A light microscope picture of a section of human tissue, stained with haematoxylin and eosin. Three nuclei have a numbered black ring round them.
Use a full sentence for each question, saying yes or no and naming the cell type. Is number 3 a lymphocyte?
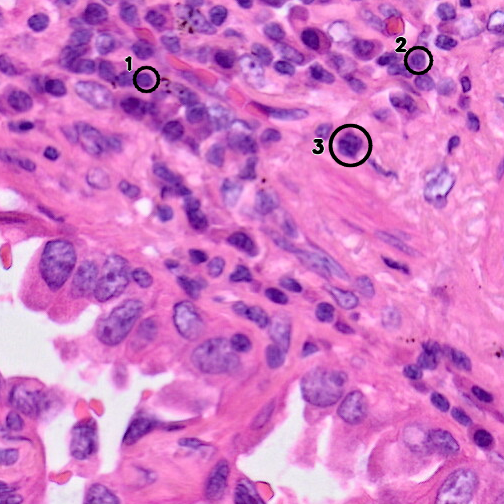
No, the cell that carries number 3 is a plasma cell, not a lymphocyte.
